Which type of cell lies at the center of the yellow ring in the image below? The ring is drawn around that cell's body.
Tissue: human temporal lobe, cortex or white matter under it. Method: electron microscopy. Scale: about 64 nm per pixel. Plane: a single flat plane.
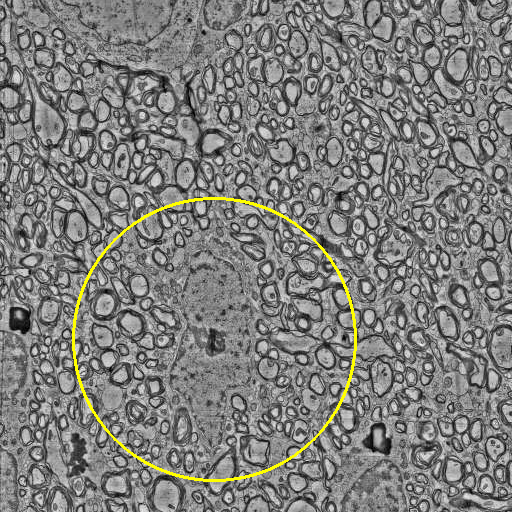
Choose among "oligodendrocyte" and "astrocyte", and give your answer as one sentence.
The cell body at the center belongs to an astrocyte.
